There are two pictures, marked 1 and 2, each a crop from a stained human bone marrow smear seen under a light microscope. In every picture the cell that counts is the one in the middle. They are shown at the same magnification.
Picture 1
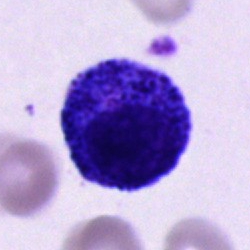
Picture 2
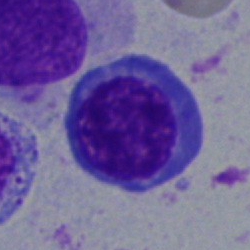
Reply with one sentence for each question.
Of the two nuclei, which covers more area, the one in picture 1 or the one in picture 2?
It is the nucleus in picture 1, about 1.5 times as large in area as the one in picture 2.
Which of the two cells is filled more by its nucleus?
The nucleus fills more of the cell in picture 1 than in picture 2.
